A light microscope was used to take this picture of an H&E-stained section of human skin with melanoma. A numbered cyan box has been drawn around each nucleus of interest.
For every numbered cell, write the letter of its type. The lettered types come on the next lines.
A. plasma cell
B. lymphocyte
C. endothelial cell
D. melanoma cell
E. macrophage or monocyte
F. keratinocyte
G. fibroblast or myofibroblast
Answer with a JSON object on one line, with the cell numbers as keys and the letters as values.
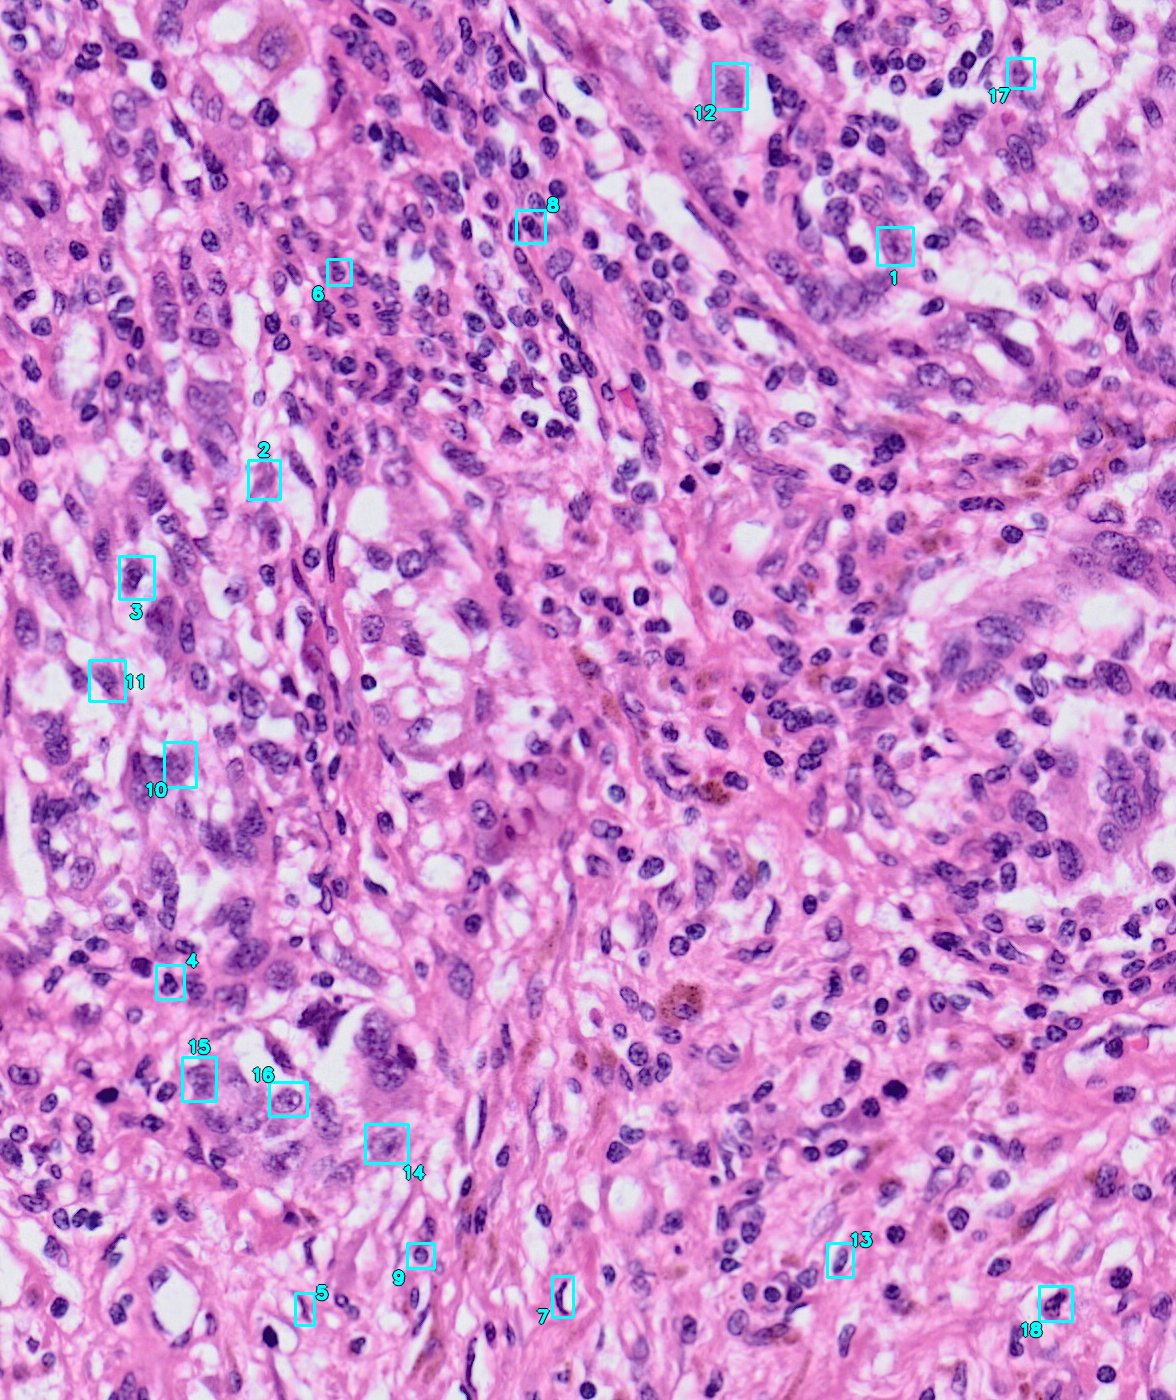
{"1": "D", "2": "D", "3": "D", "4": "B", "5": "G", "6": "B", "7": "G", "8": "B", "9": "B", "10": "D", "11": "D", "12": "D", "13": "B", "14": "D", "15": "D", "16": "D", "17": "D", "18": "A"}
